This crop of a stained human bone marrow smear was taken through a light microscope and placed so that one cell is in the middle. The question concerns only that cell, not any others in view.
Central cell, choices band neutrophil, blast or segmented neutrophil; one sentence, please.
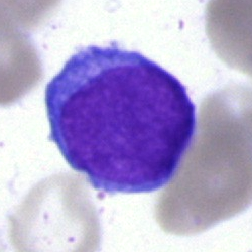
Positioned in the middle of the crop is a blast.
